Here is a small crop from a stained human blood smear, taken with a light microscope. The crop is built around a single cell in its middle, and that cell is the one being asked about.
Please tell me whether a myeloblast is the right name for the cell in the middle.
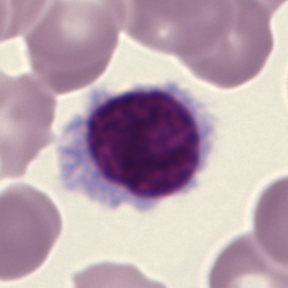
no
